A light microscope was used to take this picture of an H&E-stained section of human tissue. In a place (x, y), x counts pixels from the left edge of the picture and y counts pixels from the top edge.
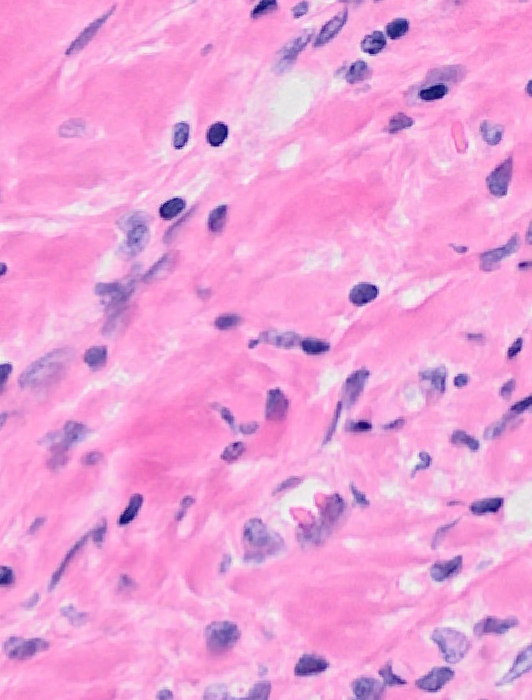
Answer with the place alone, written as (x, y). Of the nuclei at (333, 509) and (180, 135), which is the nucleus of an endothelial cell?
(333, 509)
